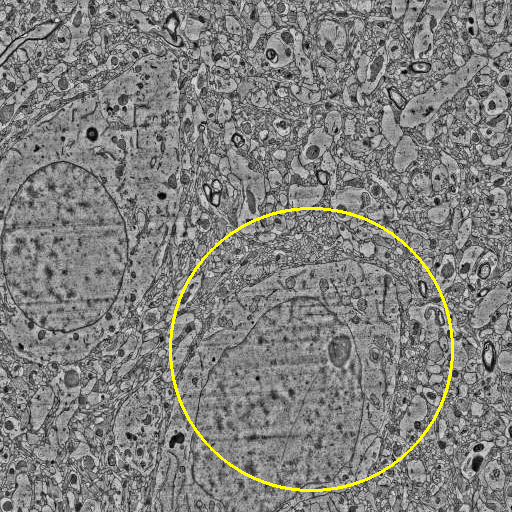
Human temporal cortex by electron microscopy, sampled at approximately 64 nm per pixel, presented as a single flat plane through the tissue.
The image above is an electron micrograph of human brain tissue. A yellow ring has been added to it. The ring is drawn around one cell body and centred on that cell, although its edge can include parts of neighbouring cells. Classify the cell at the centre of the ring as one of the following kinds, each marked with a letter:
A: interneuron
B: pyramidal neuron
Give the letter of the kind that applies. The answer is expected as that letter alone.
A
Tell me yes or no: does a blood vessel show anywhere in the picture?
No, there is none.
